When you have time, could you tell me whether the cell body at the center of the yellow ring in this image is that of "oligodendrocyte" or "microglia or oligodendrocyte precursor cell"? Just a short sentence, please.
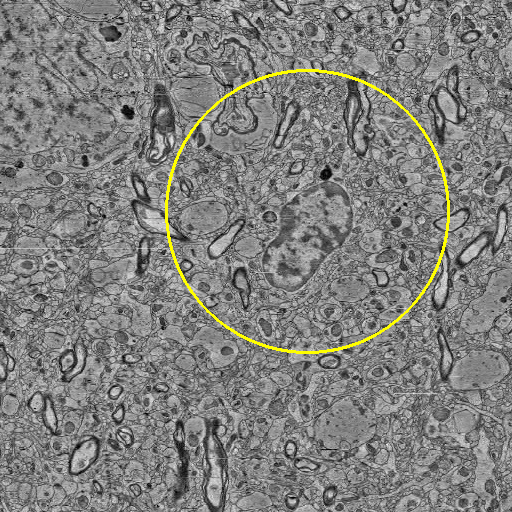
The cell body at the center of the ring is that of a microglial cell or oligodendrocyte precursor cell.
